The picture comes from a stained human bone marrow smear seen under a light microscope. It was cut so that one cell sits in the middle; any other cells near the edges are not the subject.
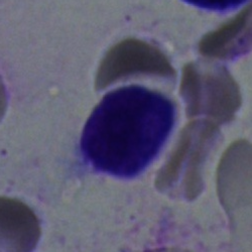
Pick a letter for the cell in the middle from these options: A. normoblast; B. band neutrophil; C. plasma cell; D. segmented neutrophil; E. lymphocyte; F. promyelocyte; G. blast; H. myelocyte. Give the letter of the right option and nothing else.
E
